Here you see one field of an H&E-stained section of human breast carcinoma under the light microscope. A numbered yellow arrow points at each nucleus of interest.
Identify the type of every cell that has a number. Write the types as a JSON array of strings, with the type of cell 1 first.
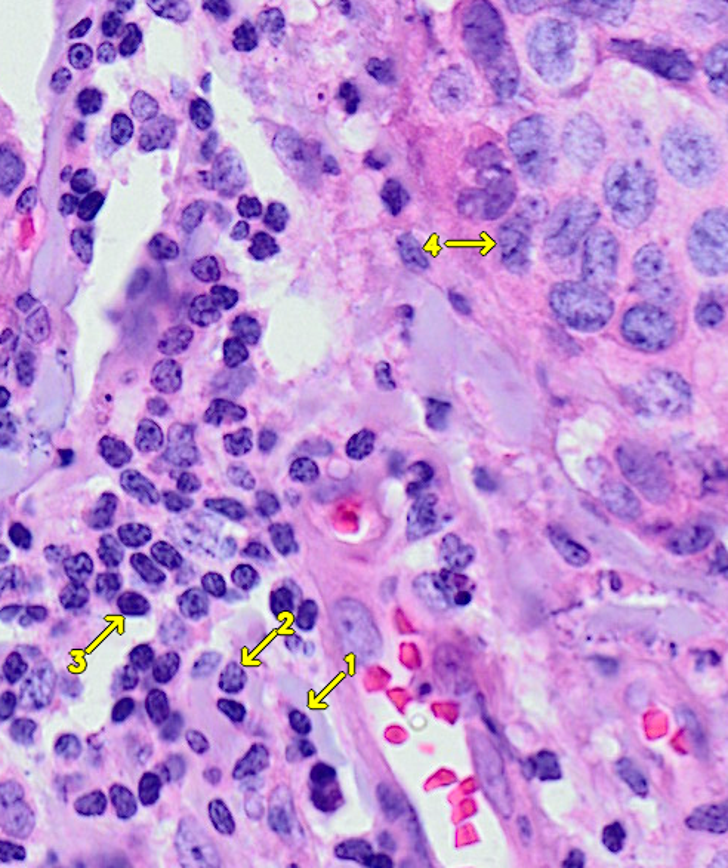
["lymphocyte", "lymphocyte", "lymphocyte", "carcinoma cell"]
